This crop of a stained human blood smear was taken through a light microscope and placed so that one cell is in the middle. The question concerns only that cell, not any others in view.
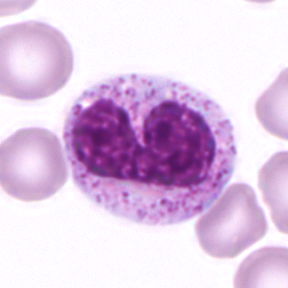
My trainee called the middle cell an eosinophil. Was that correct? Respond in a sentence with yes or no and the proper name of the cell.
No, the centre cell counts as a band neutrophil, not as an eosinophil.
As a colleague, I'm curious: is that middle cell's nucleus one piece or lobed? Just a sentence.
What stands out is the nucleus, split into two or more lobes.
